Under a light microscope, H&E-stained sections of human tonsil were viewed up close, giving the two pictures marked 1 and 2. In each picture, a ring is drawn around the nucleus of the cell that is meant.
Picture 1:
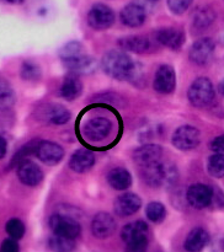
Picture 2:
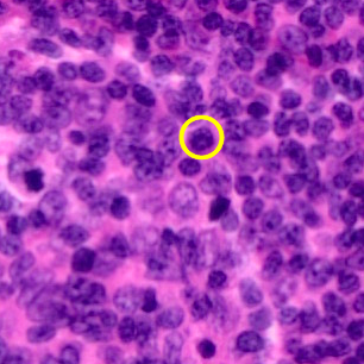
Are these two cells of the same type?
no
